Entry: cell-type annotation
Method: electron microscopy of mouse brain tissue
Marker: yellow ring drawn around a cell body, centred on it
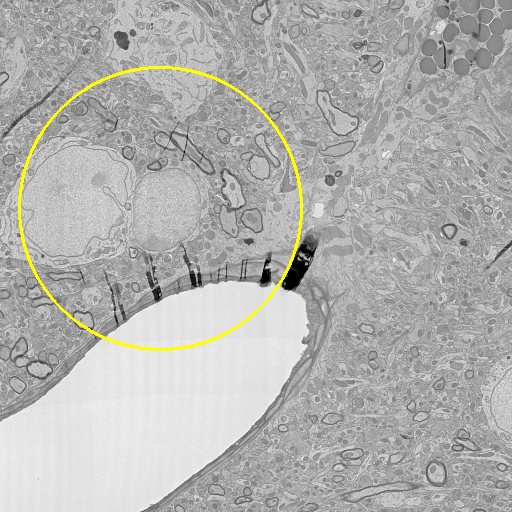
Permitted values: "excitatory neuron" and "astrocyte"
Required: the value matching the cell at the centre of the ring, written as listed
astrocyte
